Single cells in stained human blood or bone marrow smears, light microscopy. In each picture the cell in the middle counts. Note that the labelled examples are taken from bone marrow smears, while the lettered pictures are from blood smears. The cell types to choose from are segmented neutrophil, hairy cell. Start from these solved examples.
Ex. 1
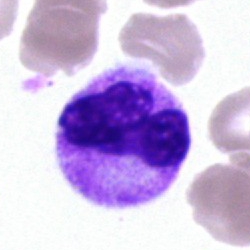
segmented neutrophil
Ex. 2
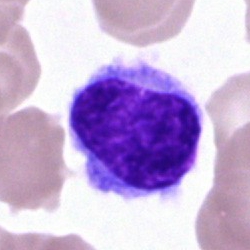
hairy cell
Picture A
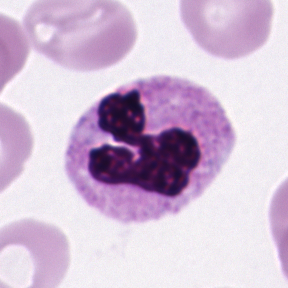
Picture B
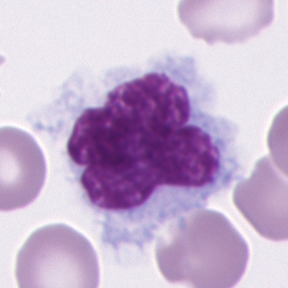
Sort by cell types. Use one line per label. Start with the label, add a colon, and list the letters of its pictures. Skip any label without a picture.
segmented neutrophil: A
hairy cell: B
